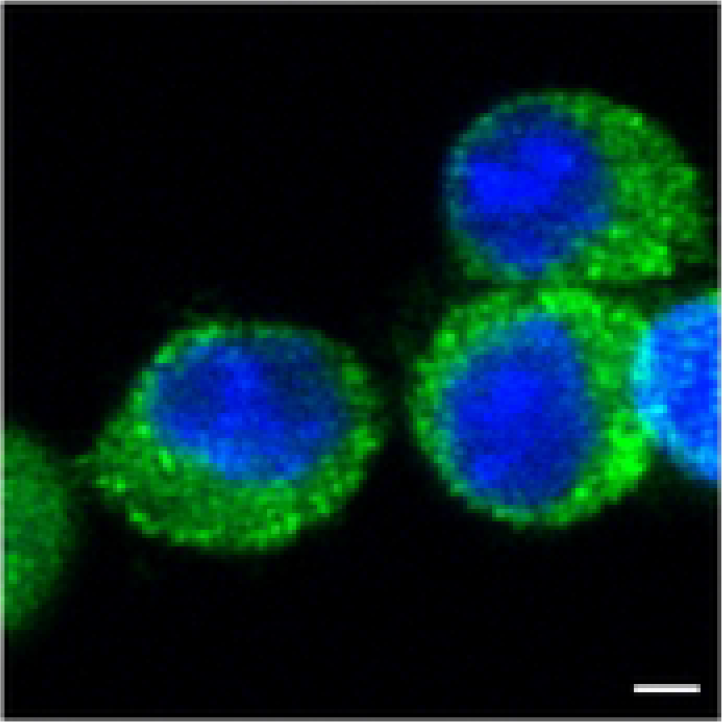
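Green dots are also scattered through the thin rim of cytoplasm around the nucleus. The nuclei show brighter blue clumps within a paler background.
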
